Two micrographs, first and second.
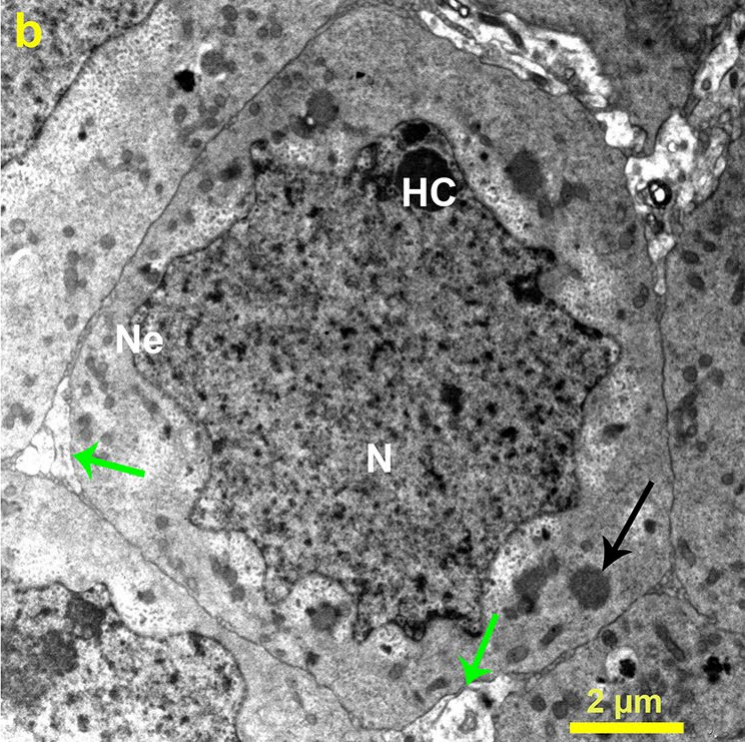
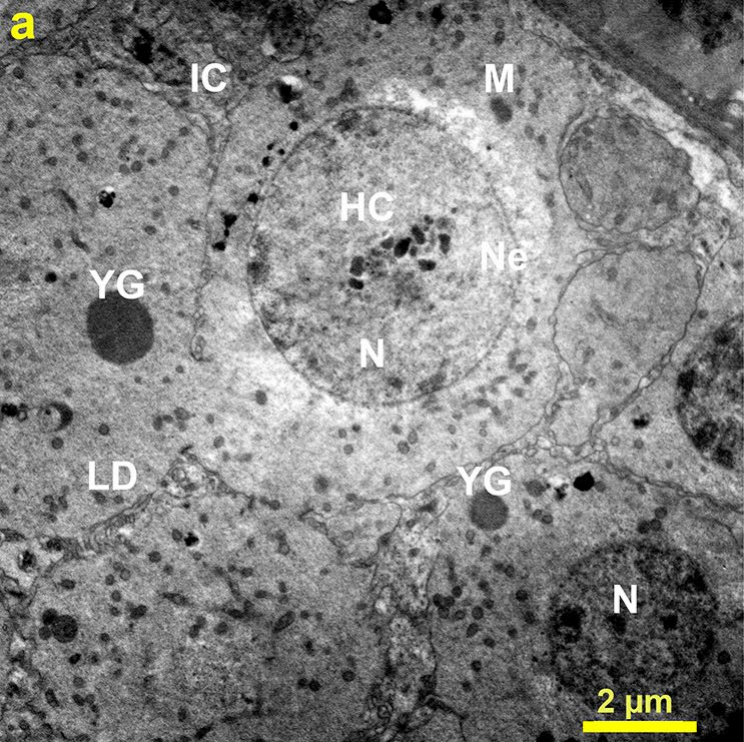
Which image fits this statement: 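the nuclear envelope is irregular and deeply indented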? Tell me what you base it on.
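The first image. First image: the large nucleus has a wavy, scalloped outline with many indentations. Second image: the central nucleus is round with a smooth, even outline.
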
